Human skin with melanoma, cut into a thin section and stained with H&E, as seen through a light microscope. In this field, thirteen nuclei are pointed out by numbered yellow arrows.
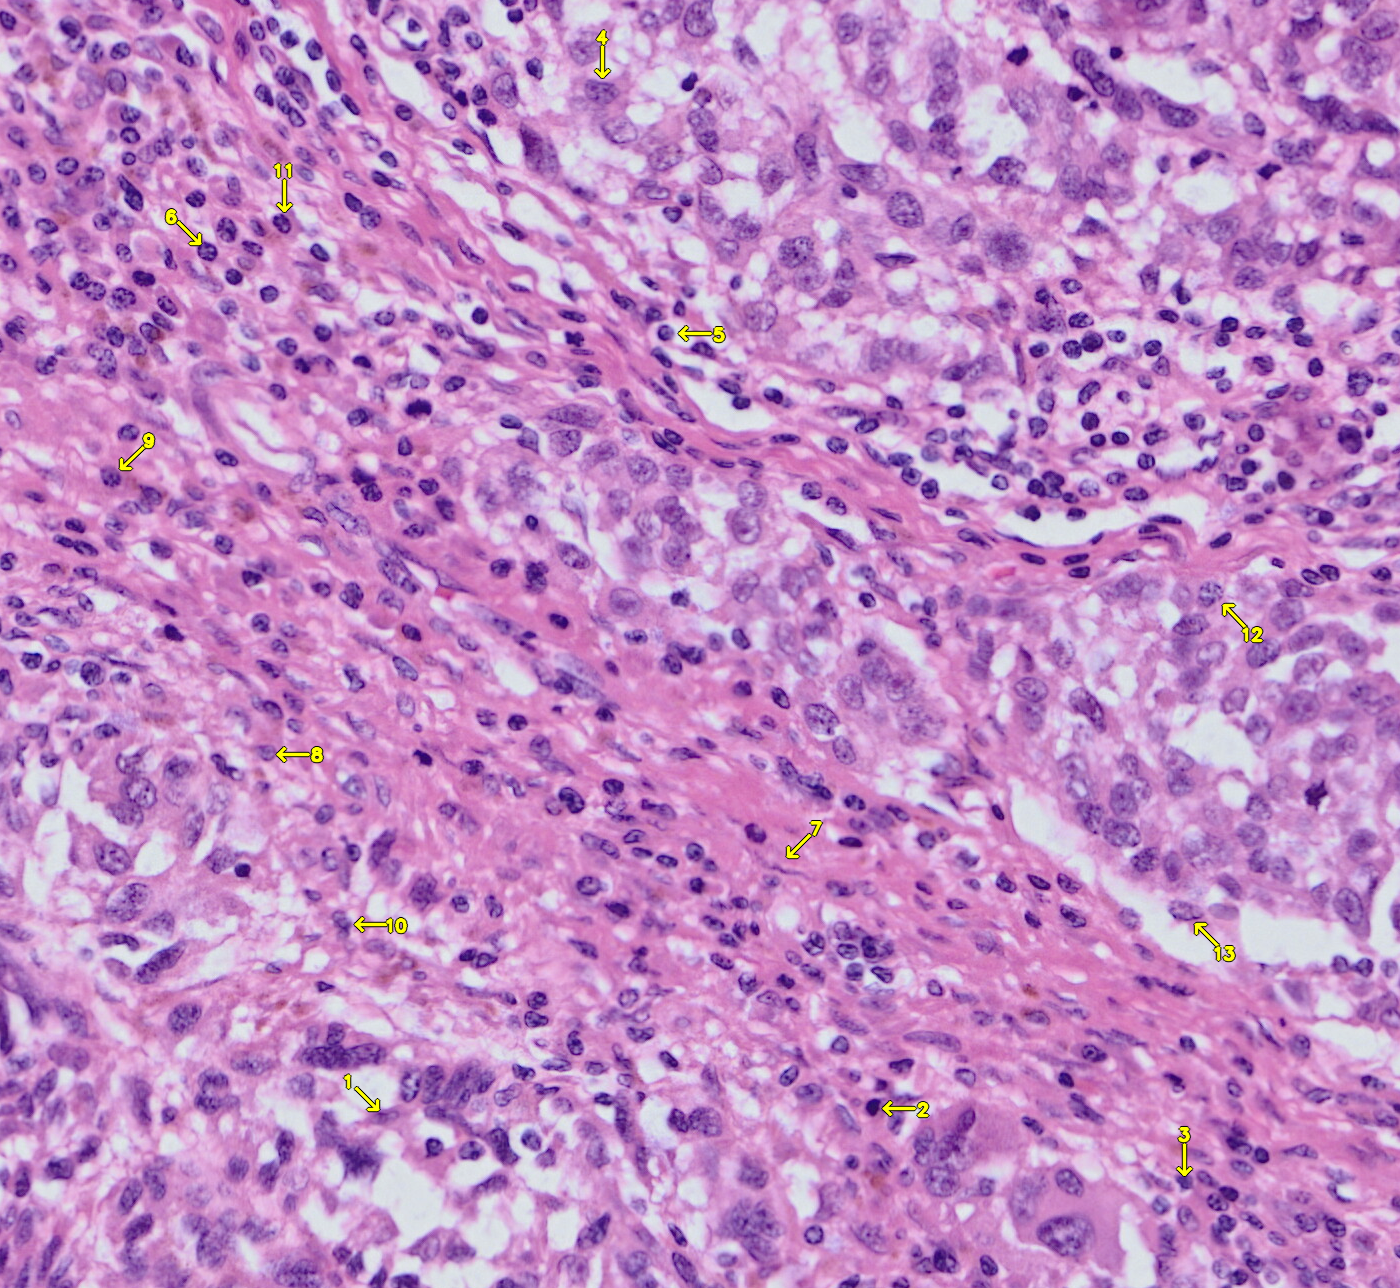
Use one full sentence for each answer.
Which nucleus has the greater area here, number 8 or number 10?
Nucleus 10 is larger, with an area about 2 times that of nucleus 8.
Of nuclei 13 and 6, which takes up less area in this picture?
With nucleus 13 about 1.5 times its size, nucleus 6 is the smaller of the two.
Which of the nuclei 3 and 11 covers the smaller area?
Nucleus 3 covers less area, with nucleus 11 about 1.5 times as large.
